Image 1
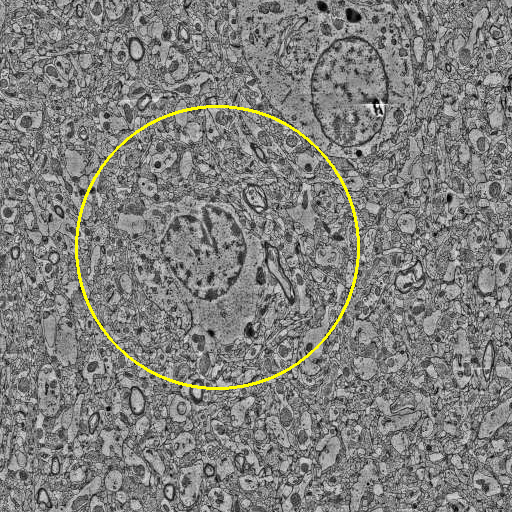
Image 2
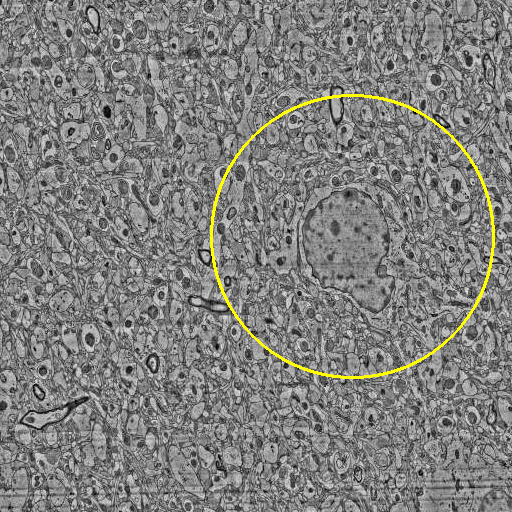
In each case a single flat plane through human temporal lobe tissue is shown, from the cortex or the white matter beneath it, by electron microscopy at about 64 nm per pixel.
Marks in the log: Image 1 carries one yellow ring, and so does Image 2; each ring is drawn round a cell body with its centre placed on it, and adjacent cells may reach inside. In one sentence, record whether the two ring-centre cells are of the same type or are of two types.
The two cells at the ring centres, one in each image, are of the same type.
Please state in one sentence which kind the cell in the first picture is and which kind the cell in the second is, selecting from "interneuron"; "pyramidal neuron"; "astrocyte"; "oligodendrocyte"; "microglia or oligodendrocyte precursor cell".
The cell at the ring centre is a microglial cell or oligodendrocyte precursor cell in both pictures.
